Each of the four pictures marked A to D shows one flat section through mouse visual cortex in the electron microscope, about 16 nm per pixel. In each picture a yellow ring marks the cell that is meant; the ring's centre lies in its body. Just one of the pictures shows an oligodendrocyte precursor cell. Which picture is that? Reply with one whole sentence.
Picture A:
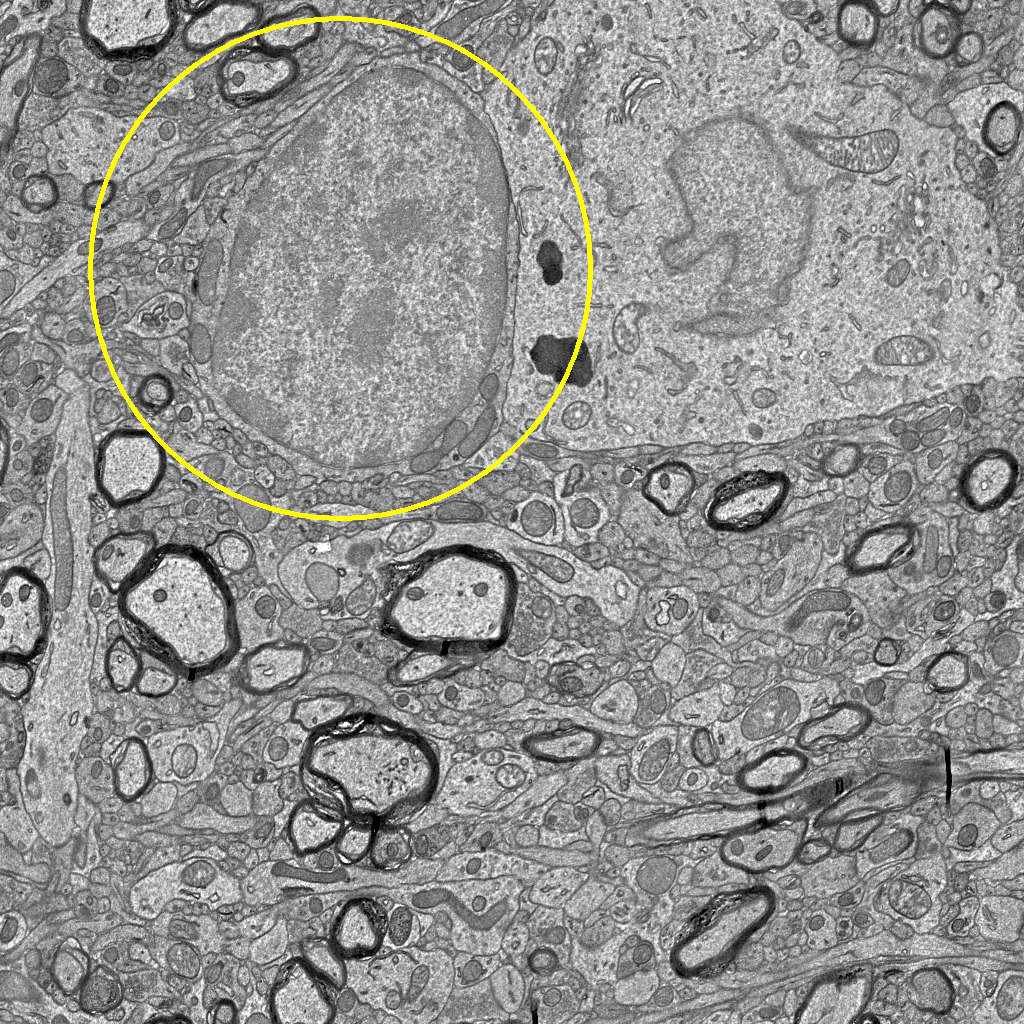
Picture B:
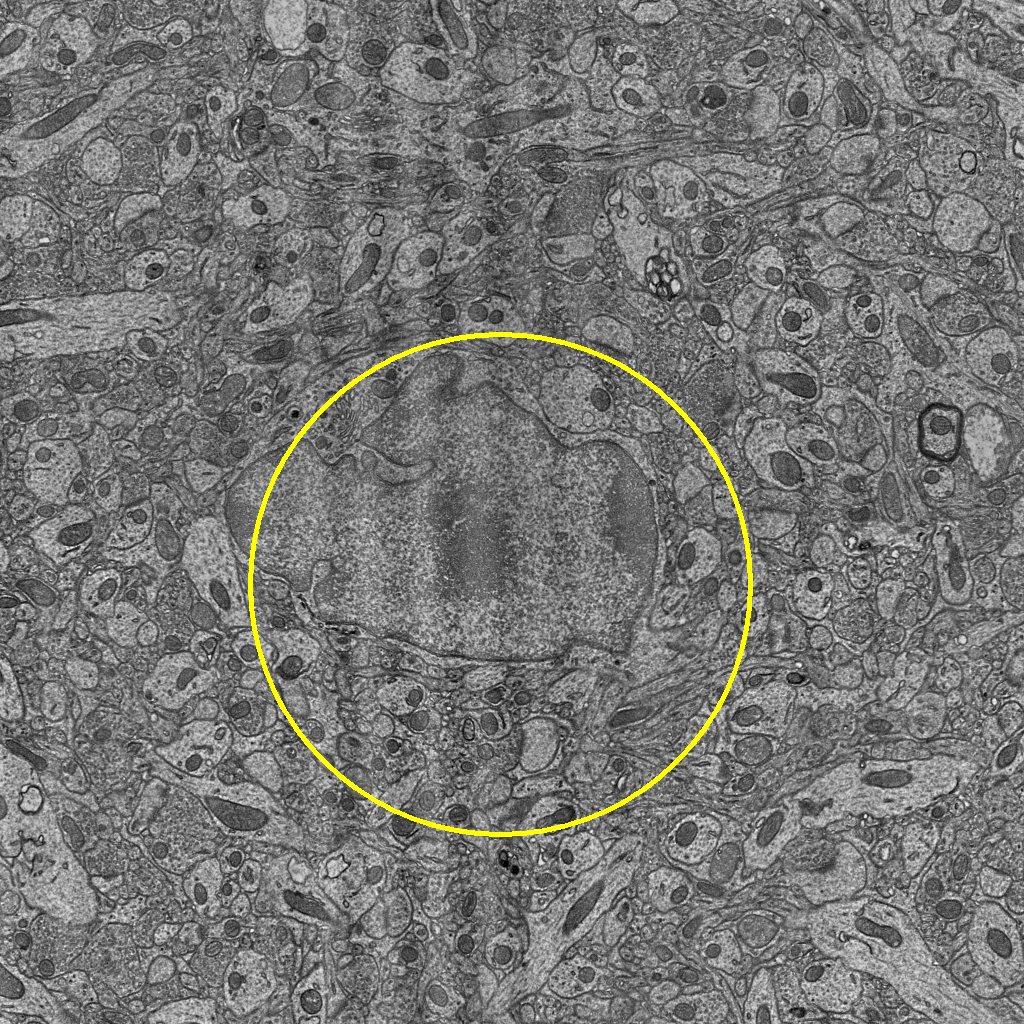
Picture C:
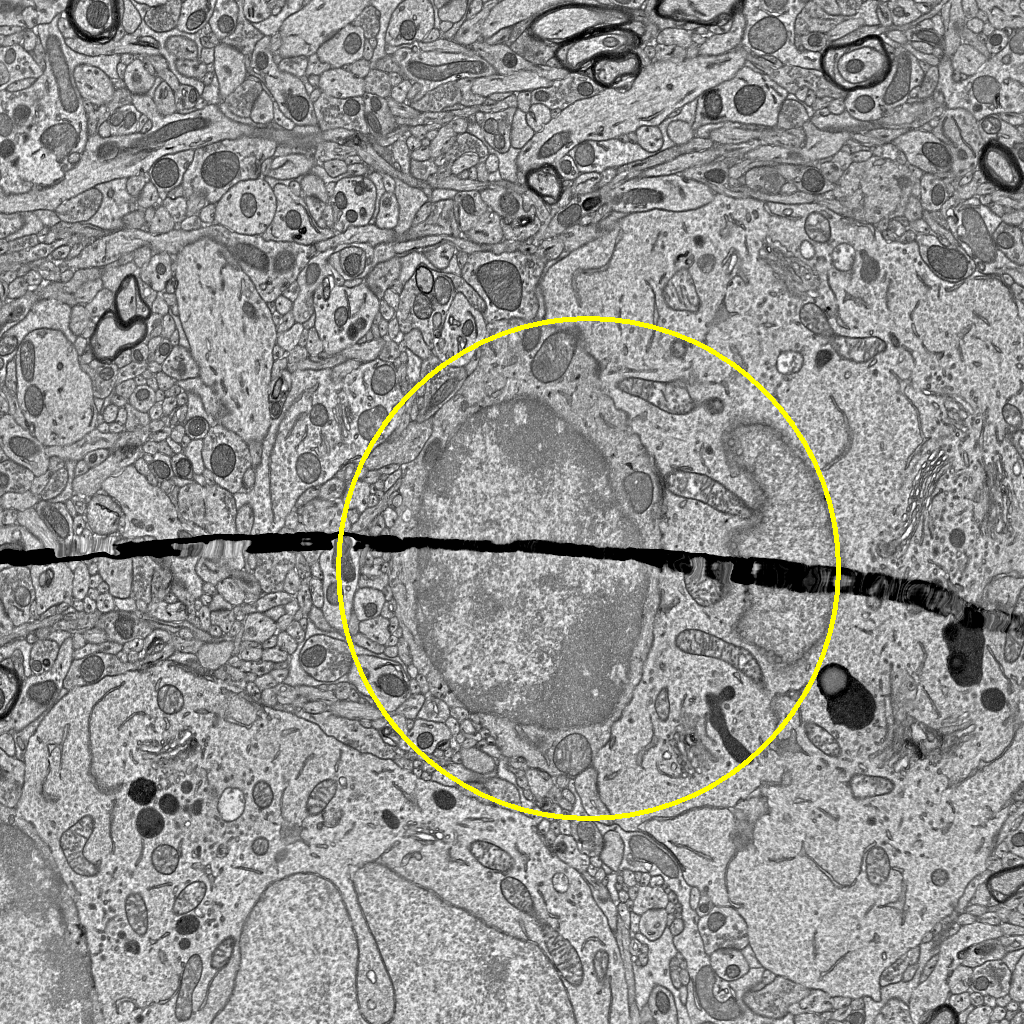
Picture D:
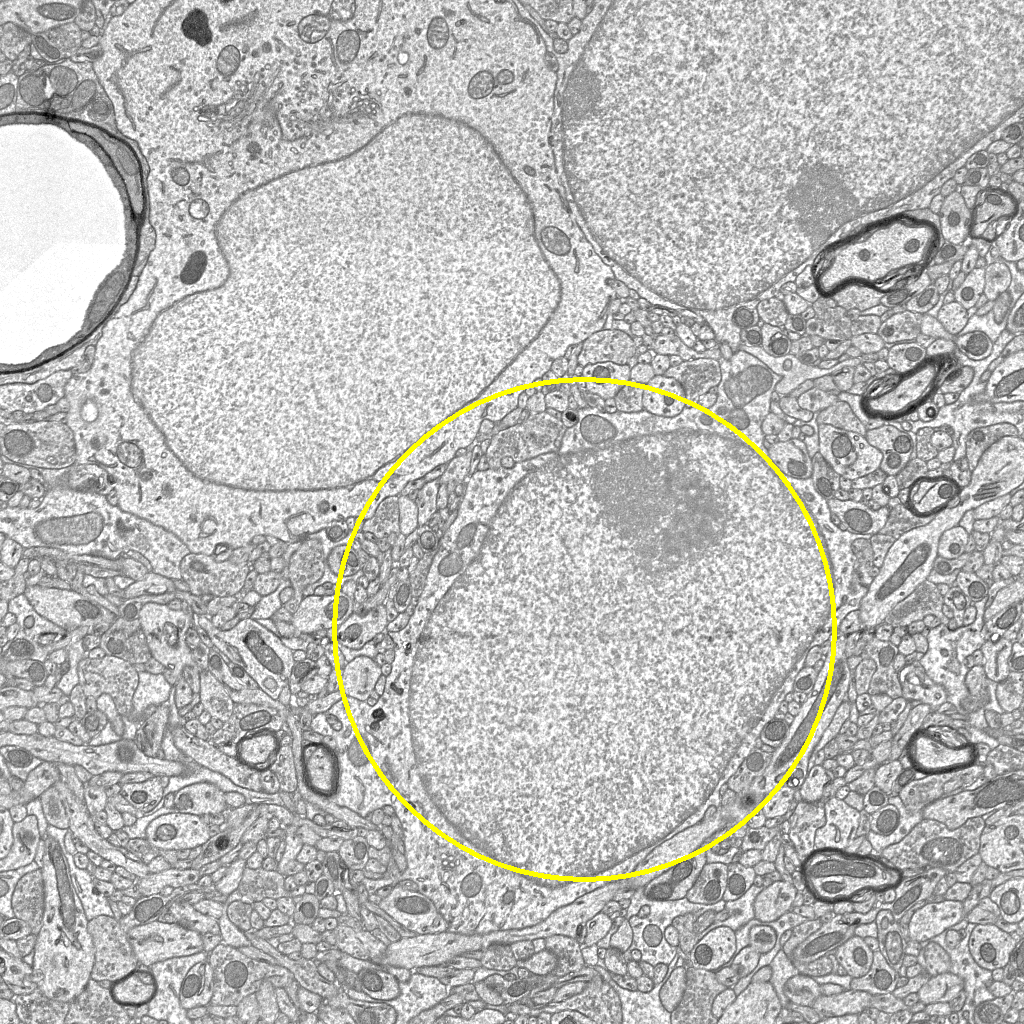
The oligodendrocyte precursor cell is the one in picture B.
